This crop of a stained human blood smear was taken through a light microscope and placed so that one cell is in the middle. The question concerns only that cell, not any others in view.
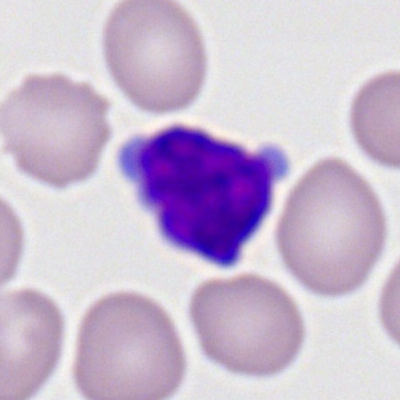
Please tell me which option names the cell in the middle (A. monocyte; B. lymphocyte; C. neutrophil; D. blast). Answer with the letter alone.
B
